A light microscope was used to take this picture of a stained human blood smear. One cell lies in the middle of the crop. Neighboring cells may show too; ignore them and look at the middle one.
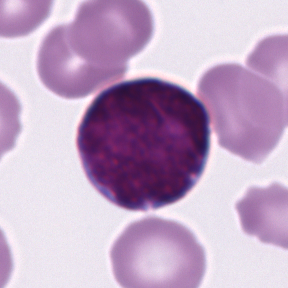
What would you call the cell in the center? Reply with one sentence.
Here the centrally located cell is a myeloblast.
